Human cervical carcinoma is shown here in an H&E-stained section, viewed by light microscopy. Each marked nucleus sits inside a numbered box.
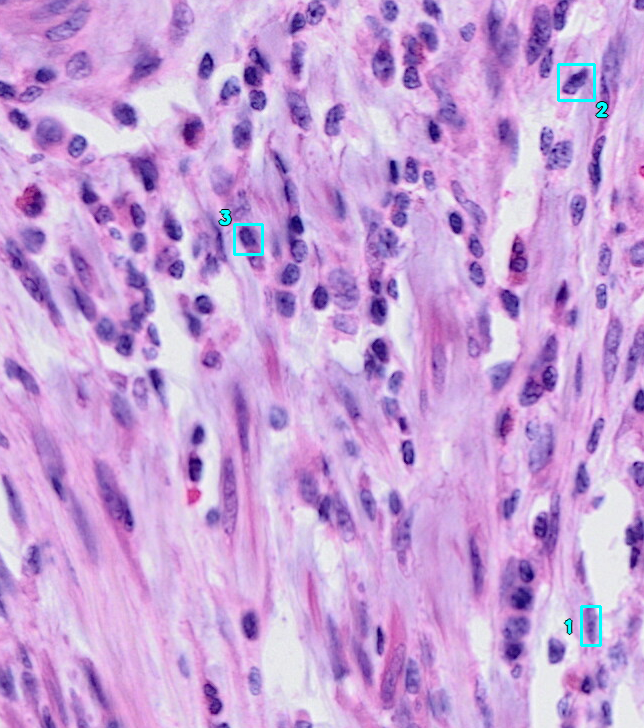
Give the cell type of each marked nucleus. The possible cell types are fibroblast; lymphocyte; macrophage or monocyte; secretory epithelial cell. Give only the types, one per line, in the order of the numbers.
fibroblast
lymphocyte
lymphocyte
